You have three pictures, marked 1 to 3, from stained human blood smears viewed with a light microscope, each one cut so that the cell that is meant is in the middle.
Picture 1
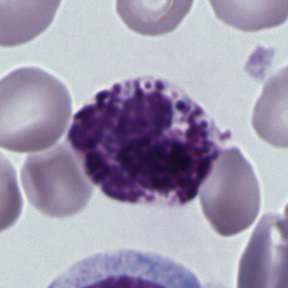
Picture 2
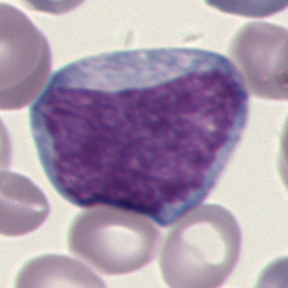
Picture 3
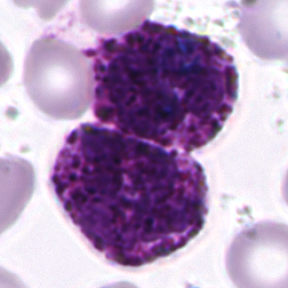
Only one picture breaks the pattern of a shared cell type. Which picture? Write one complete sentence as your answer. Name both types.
The others show basophils, but picture 2 shows a promyelocyte.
